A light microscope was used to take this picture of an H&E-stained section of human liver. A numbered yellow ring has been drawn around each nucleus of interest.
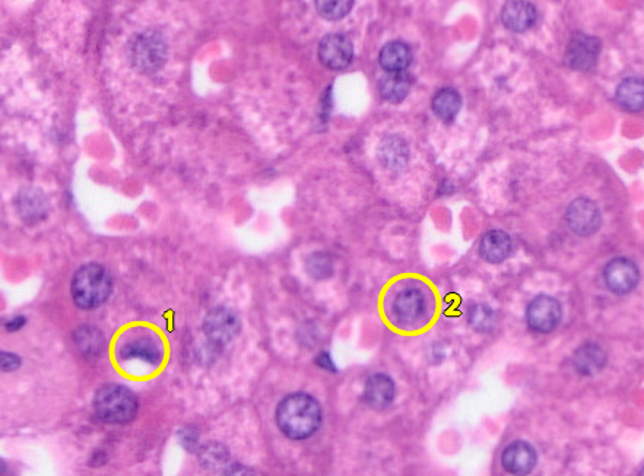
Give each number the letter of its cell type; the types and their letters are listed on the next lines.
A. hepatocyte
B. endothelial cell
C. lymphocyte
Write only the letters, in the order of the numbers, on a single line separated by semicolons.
B; A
